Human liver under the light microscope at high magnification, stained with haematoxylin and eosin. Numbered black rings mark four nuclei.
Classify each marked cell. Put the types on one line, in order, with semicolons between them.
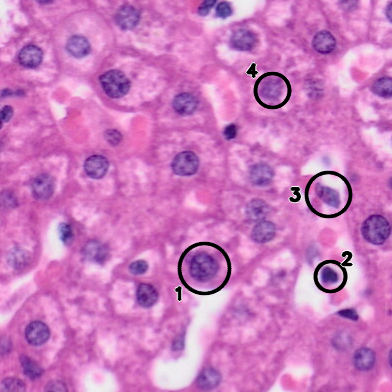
hepatocyte; lymphocyte; Kupffer cell; hepatocyte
